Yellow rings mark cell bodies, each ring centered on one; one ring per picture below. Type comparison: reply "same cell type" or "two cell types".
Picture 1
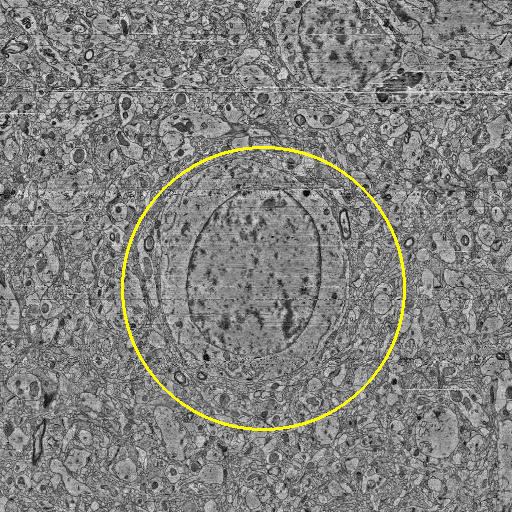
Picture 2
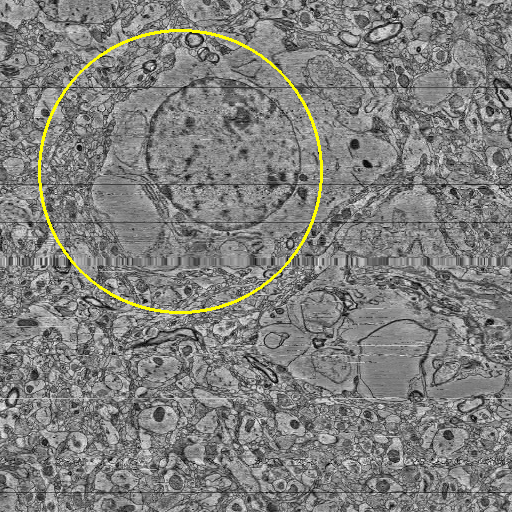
two cell types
